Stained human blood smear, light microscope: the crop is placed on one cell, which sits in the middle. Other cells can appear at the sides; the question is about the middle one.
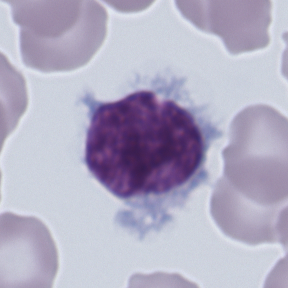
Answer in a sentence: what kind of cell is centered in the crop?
Answering briefly, the cell in the middle is a hairy cell.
